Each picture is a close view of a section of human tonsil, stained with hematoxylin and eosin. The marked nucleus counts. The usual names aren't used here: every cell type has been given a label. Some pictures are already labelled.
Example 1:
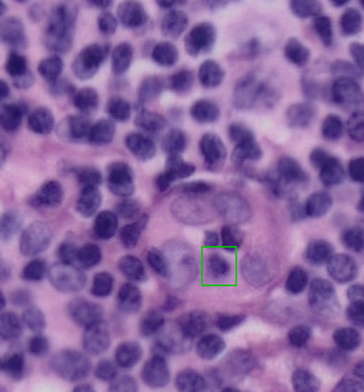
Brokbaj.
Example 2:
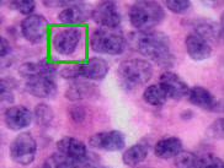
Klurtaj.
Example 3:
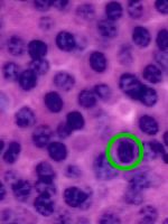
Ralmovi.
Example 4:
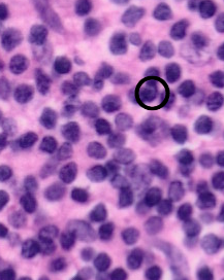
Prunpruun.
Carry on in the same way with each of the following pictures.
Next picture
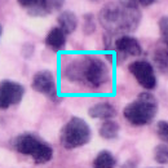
Klurtaj.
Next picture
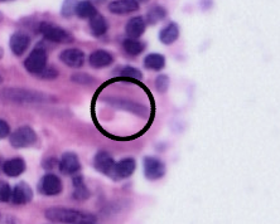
Brokbaj.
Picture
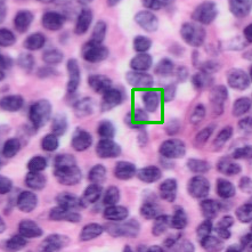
Prunpruun.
